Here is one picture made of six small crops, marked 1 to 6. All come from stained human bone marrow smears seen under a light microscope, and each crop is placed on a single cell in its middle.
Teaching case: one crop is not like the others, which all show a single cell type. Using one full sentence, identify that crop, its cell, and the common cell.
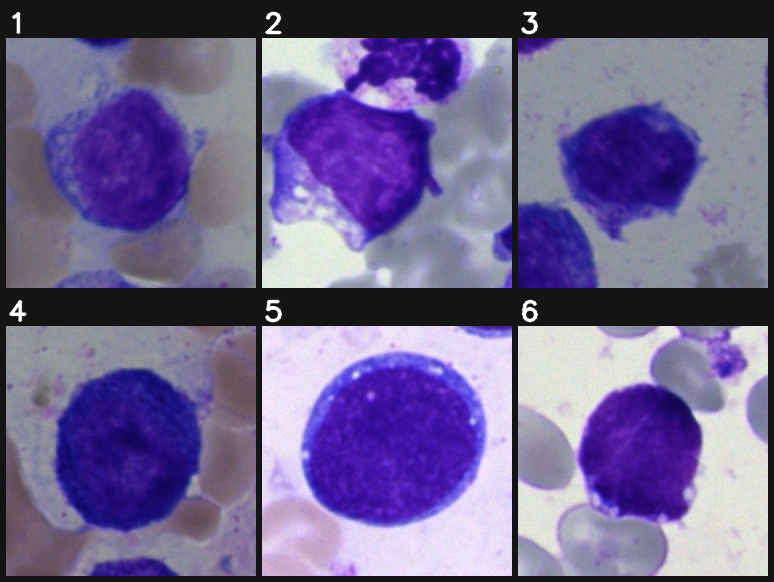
All the crops show blasts, barring crop 4, which is a promyelocyte.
